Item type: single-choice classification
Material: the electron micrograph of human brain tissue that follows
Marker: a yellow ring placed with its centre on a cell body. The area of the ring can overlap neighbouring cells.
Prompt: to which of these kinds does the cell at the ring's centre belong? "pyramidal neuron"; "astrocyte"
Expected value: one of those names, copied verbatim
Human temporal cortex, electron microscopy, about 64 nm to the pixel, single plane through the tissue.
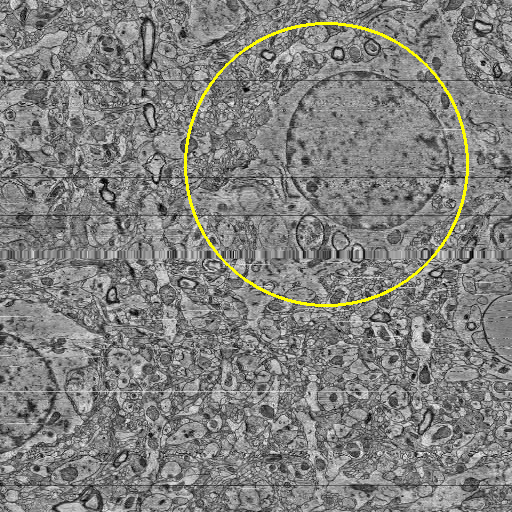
astrocyte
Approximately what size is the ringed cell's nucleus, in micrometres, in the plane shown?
Roughly 10 micrometres across for the nucleus, in this plane.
